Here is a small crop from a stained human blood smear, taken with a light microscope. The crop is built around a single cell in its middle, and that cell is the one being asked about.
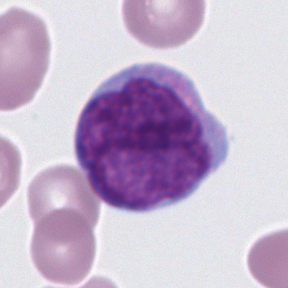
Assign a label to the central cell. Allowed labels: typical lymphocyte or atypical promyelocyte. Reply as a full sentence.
The middle of this crop is occupied by an atypical promyelocyte.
